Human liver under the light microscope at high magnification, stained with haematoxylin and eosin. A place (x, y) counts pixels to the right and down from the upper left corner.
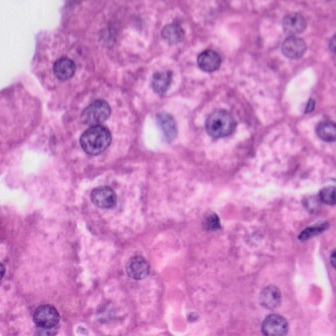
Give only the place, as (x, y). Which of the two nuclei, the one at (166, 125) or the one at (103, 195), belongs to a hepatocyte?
(103, 195)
